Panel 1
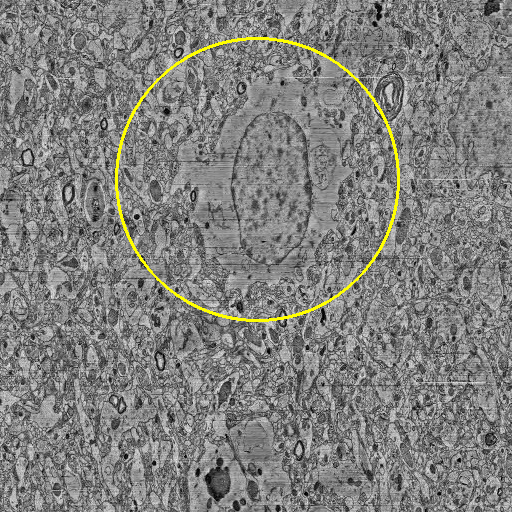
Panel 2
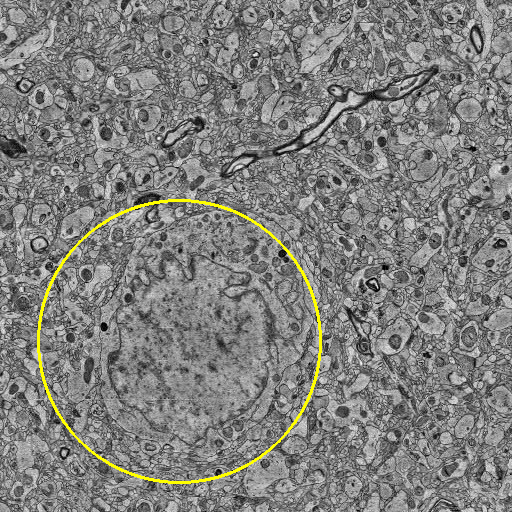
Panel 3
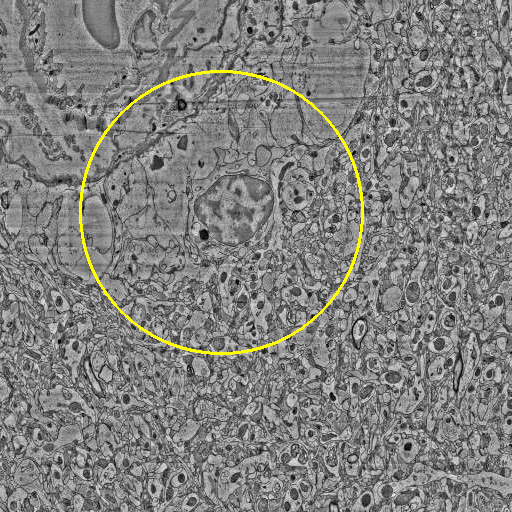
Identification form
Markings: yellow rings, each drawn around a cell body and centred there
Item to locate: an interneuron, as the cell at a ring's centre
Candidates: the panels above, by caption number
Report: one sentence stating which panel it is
It is Panel 2.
